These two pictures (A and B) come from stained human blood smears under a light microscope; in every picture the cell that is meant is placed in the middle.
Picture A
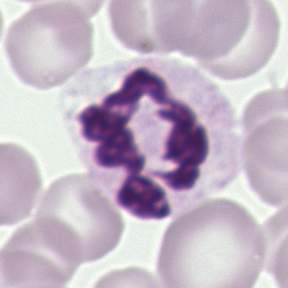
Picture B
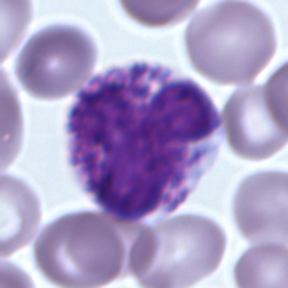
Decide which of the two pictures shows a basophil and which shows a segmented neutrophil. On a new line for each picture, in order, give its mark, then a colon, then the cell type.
A: segmented neutrophil
B: basophil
